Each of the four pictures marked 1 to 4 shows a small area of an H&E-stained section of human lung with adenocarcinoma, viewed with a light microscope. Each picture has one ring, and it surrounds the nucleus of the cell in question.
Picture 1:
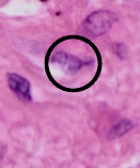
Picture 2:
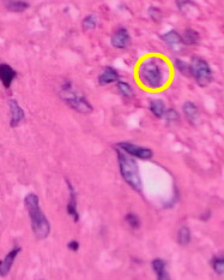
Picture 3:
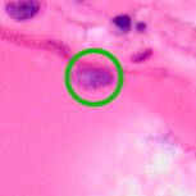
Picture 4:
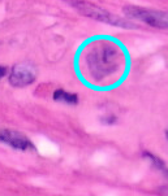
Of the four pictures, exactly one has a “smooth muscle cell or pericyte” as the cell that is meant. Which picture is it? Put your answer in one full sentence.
The picture with the “smooth muscle cell or pericyte” is 2.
